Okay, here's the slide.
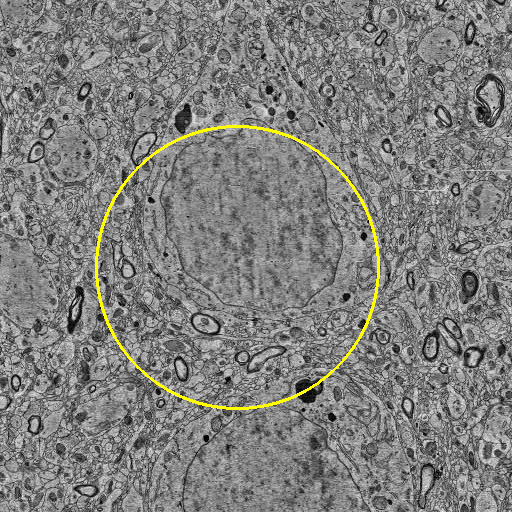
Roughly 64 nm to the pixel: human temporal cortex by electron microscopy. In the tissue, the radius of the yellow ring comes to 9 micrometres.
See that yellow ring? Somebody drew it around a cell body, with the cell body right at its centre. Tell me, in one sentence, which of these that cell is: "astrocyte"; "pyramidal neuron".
The cell in the middle of the ring is a pyramidal neuron.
